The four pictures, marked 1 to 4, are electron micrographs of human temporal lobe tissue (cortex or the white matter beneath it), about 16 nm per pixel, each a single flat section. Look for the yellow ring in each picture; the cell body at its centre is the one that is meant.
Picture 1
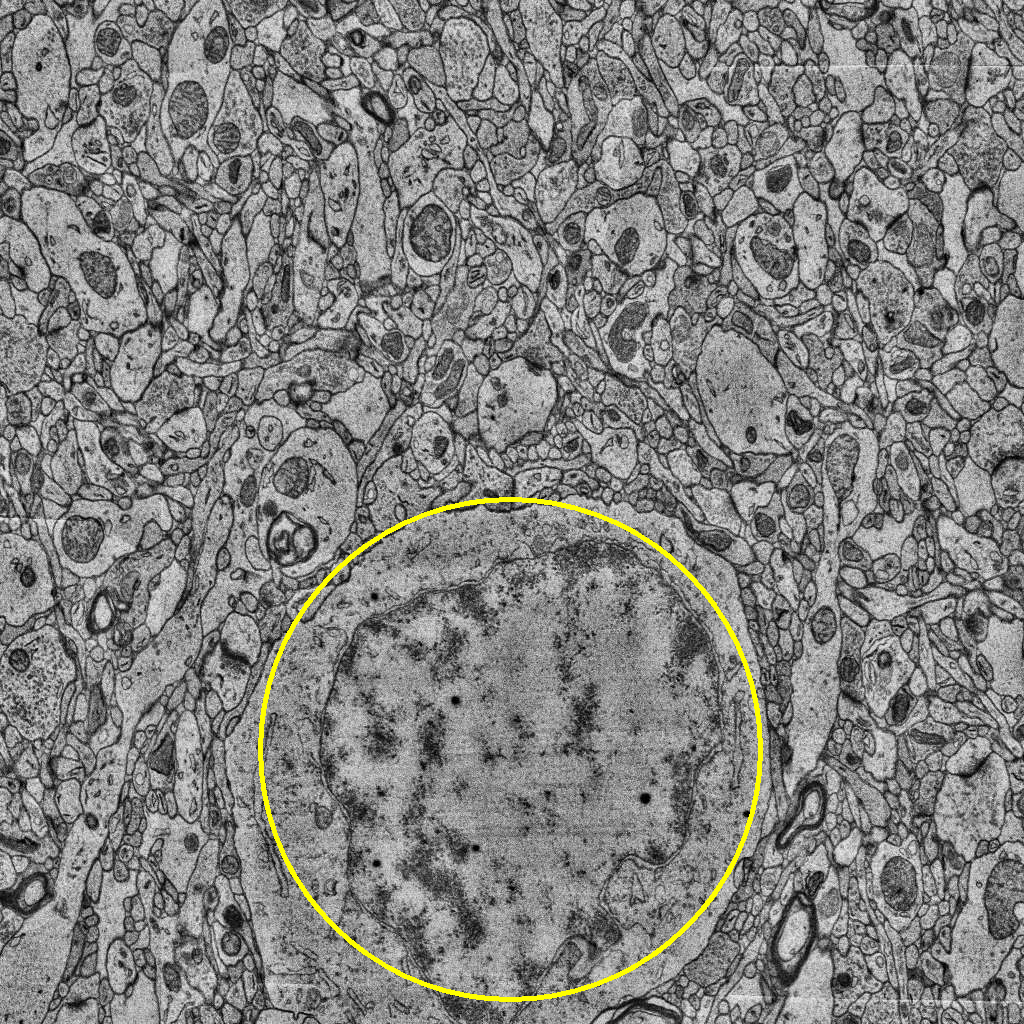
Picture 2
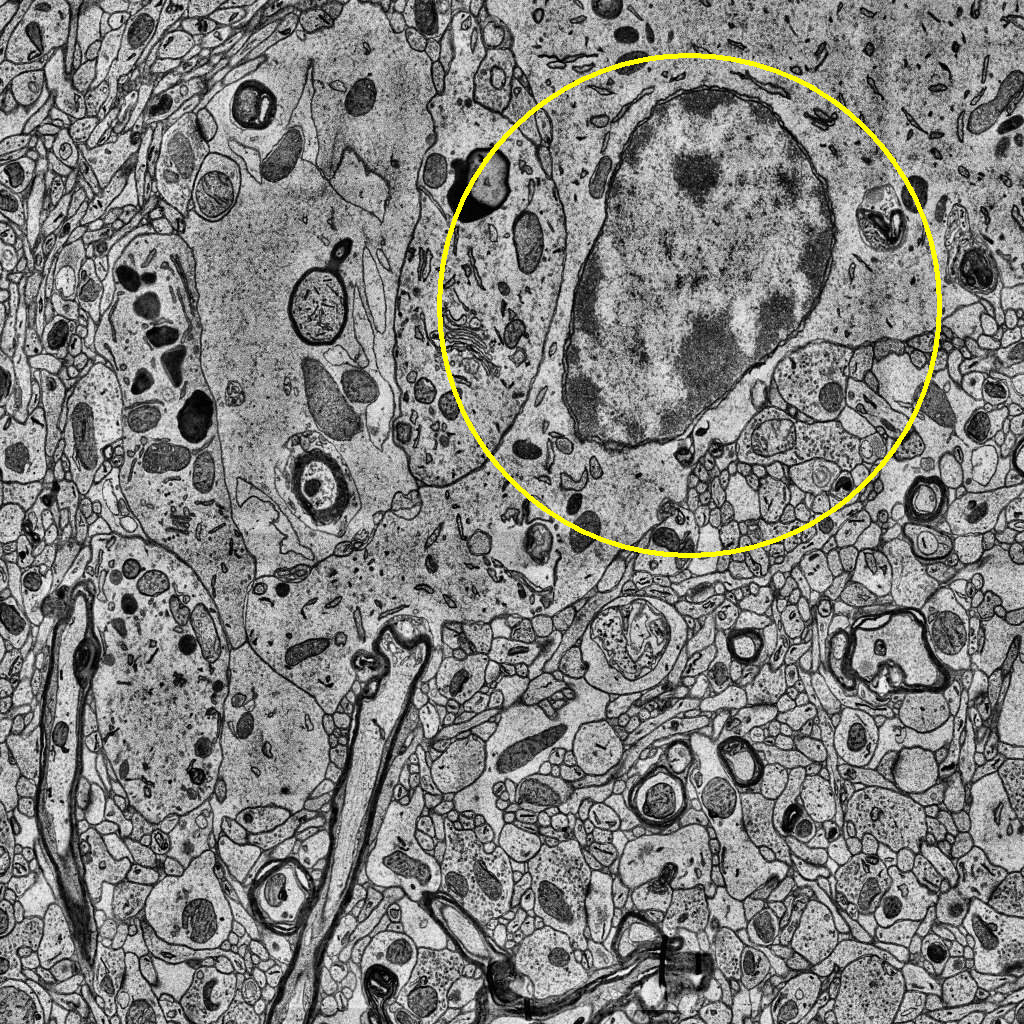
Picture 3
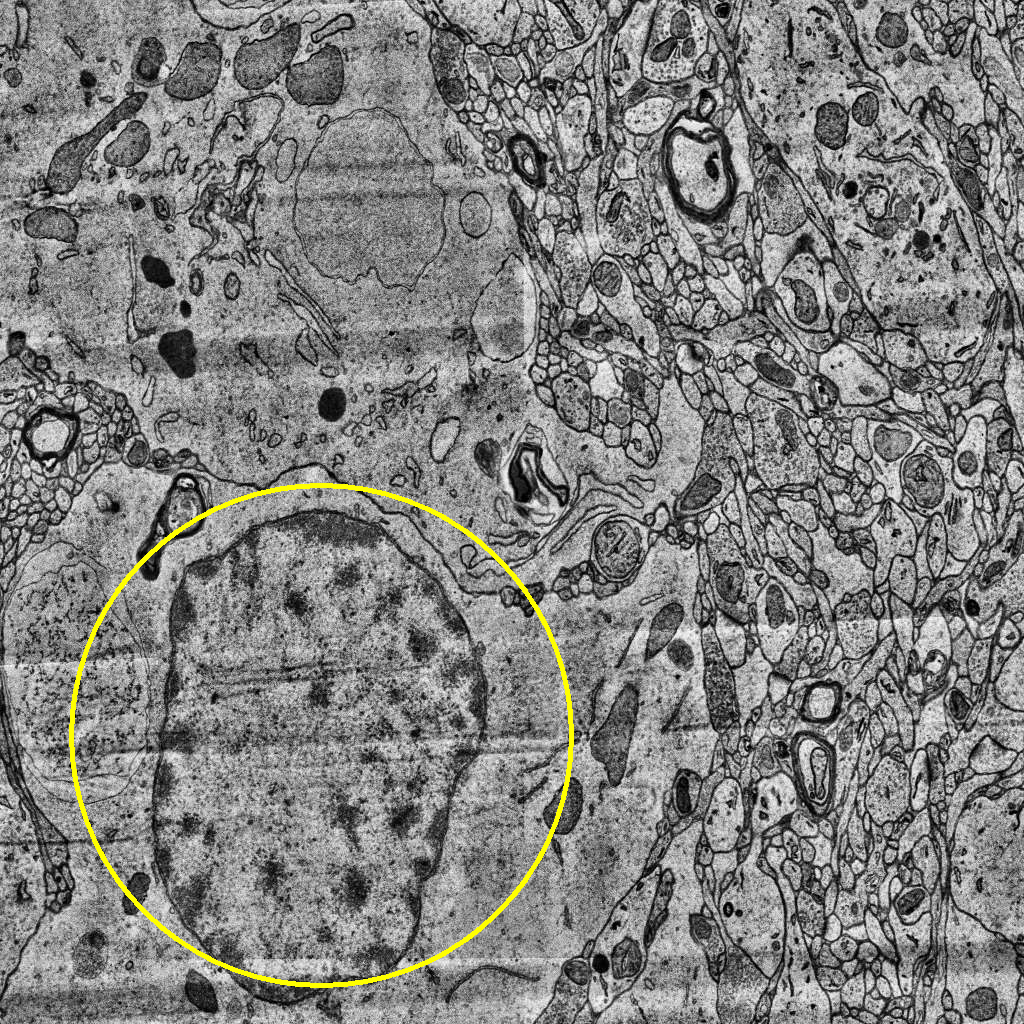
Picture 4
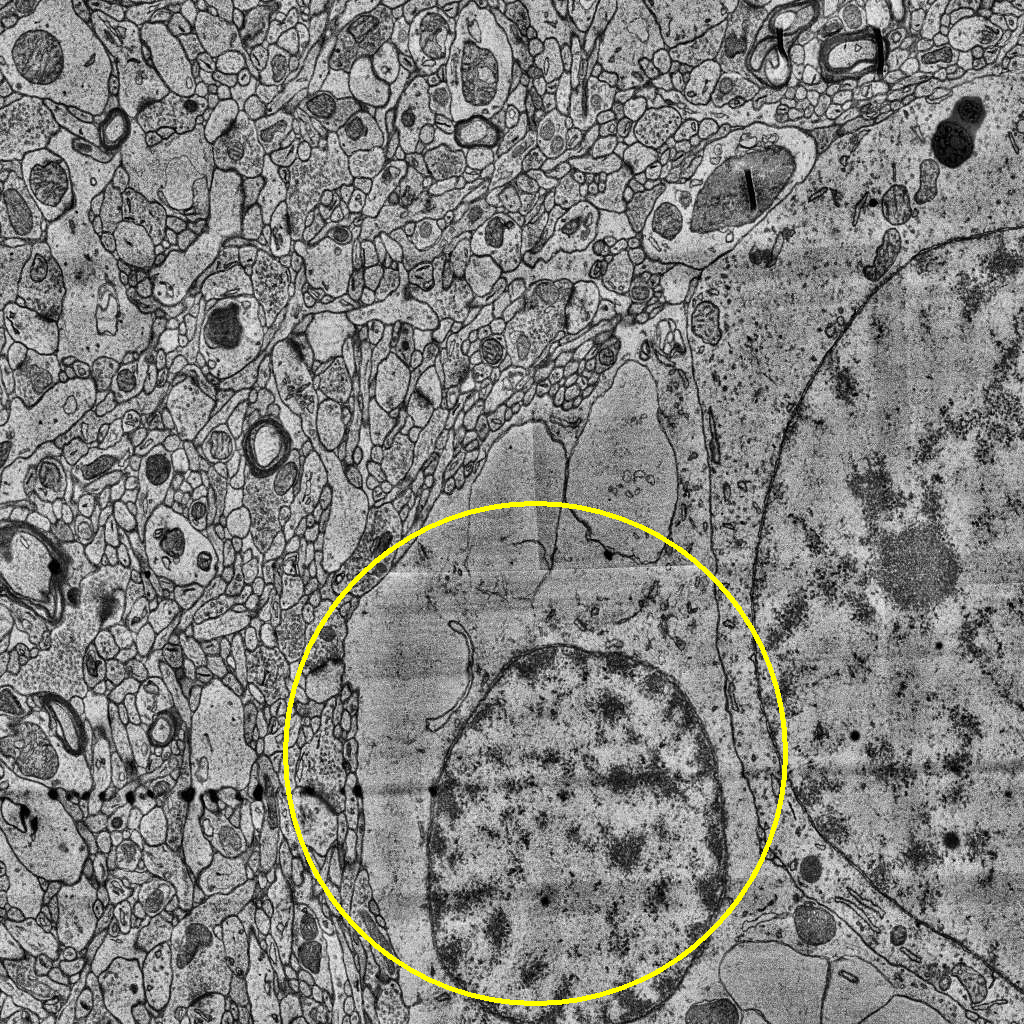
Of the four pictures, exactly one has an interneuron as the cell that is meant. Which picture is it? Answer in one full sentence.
The interneuron is the one in picture 1.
